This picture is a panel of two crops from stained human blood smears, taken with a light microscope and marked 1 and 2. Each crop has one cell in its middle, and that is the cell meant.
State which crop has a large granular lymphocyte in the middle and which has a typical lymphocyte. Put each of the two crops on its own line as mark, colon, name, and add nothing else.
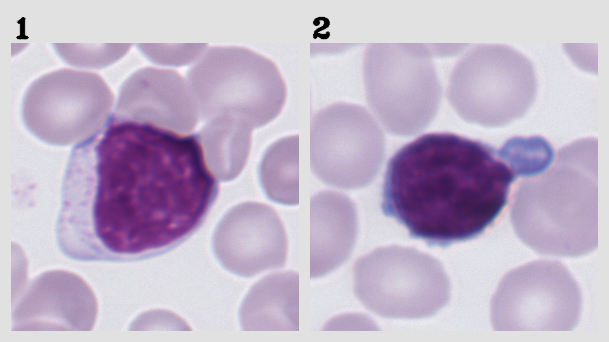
1: large granular lymphocyte
2: typical lymphocyte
